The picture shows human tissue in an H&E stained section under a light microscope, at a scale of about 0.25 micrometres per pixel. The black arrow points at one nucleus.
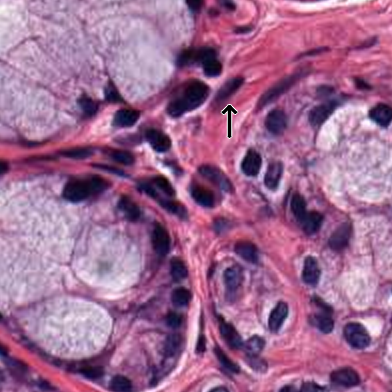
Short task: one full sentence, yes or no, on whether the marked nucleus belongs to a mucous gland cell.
No, it is a supporting cell whose nucleus is marked, not a mucous gland cell.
